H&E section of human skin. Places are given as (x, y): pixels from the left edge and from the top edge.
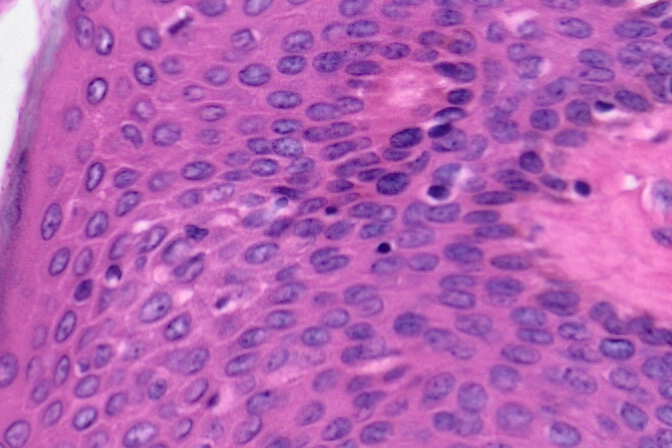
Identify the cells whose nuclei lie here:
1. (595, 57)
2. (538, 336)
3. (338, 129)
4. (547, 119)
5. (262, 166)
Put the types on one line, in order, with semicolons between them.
suprabasal keratinocyte; suprabasal keratinocyte; basal keratinocyte; basal keratinocyte; suprabasal keratinocyte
